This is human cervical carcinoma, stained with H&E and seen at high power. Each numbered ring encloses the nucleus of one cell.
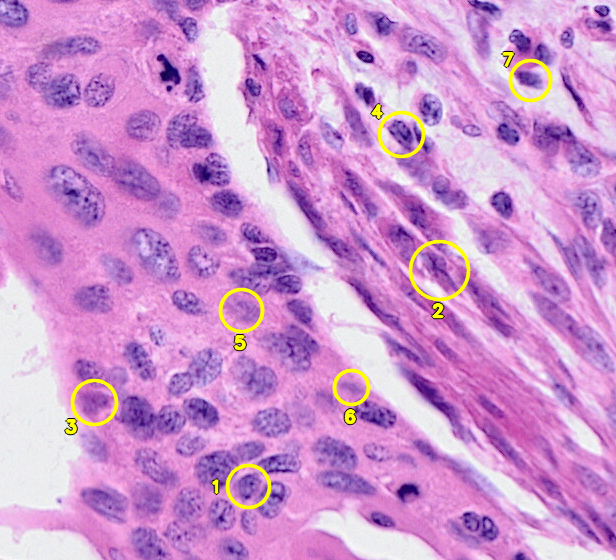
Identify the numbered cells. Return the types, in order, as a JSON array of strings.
["squamous carcinoma cell", "fibroblast", "squamous carcinoma cell", "lymphocyte", "squamous carcinoma cell", "squamous carcinoma cell", "lymphocyte"]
